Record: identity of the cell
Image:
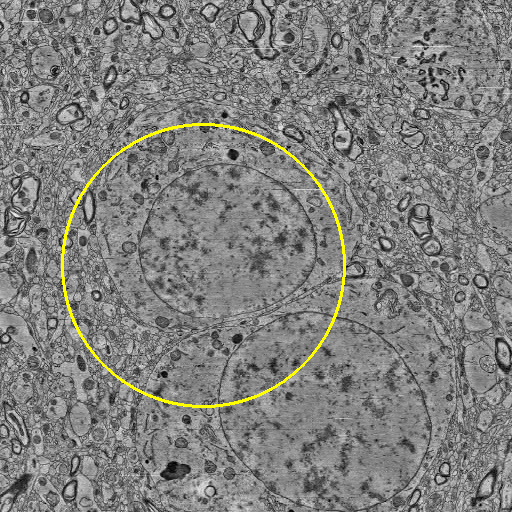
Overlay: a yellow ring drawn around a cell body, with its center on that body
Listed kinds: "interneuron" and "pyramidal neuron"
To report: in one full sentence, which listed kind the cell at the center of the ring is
In the image, the cell body at the ring's center belongs to an interneuron.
